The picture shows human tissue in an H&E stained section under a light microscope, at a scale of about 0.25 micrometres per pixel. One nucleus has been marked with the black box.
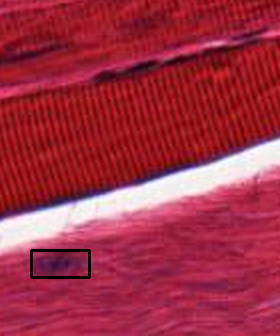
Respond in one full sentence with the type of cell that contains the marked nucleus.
A nucleus of a skeletal muscle fibre is the one that is marked.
